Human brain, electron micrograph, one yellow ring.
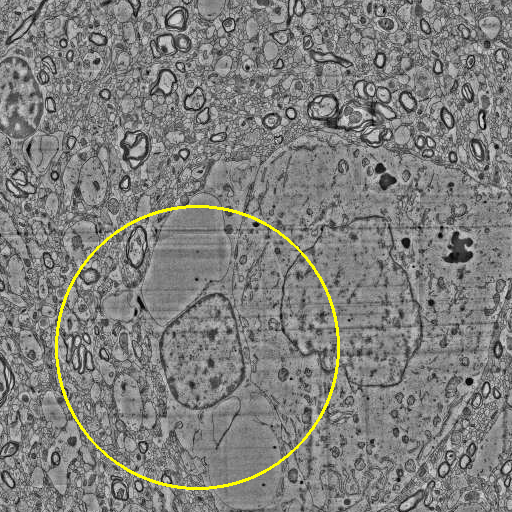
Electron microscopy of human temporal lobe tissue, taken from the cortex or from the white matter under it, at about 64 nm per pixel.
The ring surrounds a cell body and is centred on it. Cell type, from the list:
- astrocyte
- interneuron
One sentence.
The yellow ring circles an astrocyte.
